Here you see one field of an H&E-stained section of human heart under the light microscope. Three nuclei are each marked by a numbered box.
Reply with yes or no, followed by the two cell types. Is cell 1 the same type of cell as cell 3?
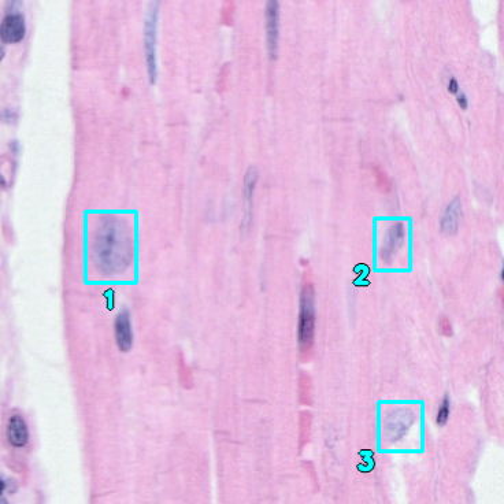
Yes, cells 1 and 3 are alike in being cardiomyocytes.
